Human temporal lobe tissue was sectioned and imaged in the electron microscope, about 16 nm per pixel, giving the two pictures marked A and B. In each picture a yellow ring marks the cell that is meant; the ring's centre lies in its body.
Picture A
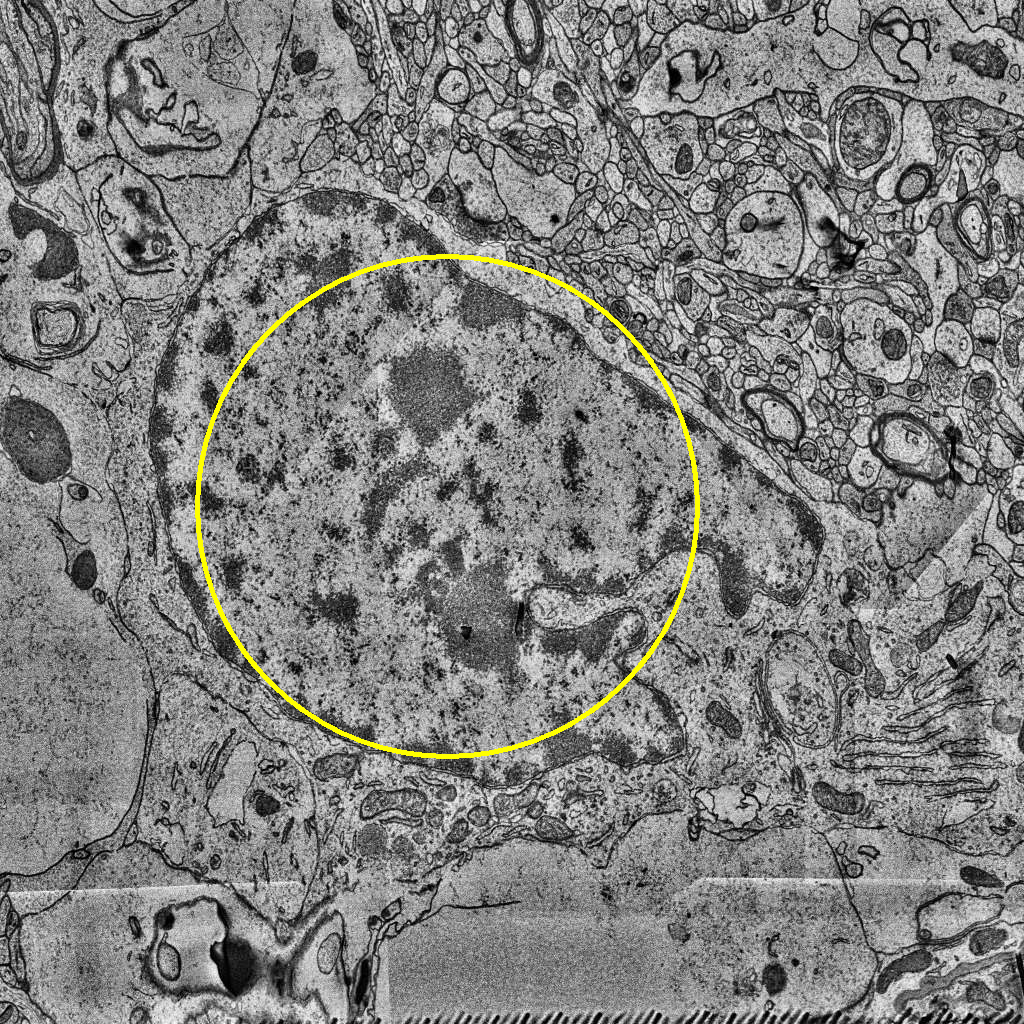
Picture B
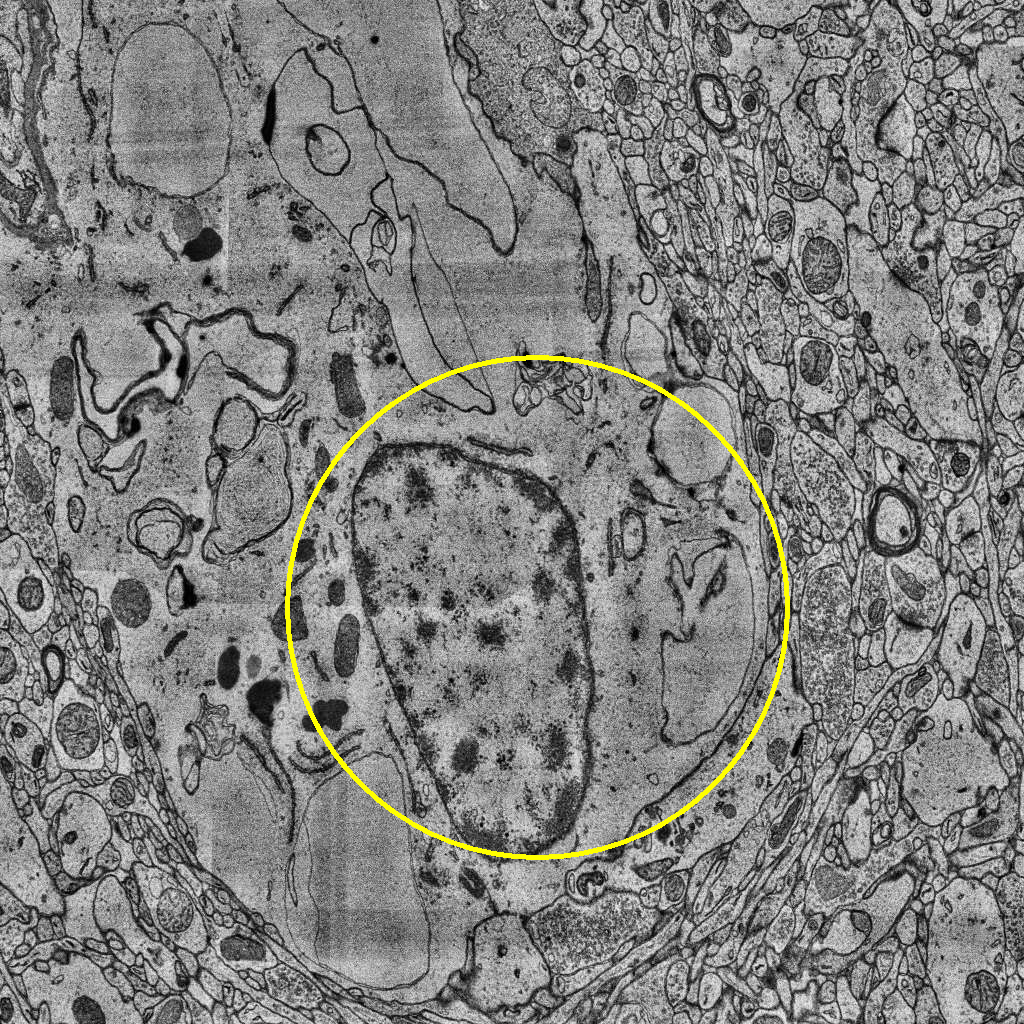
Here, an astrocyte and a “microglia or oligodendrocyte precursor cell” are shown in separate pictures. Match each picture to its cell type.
In picture A the cell is a “microglia or oligodendrocyte precursor cell”; in picture B, an astrocyte.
